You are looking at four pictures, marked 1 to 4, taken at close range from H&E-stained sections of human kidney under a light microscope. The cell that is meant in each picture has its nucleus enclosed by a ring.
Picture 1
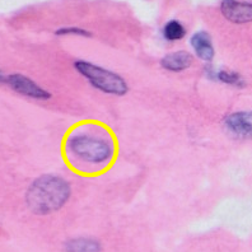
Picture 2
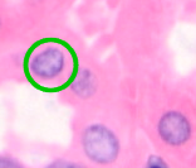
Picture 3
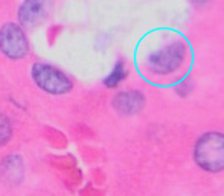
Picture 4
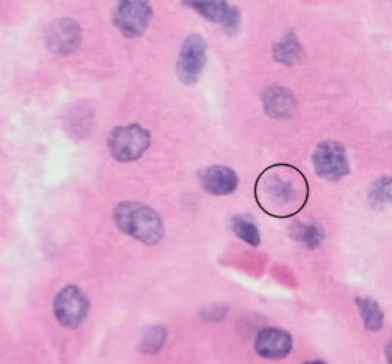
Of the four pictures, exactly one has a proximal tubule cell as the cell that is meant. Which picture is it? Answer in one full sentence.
The picture with the proximal tubule cell is 1.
